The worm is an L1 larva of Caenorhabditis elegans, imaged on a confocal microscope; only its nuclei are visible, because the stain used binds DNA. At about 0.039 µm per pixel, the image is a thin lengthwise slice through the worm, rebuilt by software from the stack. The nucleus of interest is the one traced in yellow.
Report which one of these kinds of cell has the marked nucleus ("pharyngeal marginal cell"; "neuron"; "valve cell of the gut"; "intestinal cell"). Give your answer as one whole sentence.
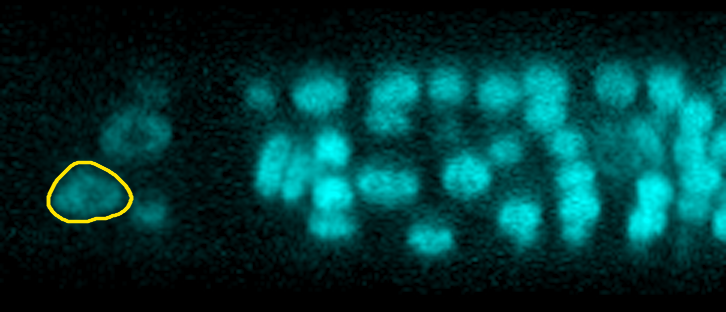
The cell with the marked nucleus is an intestinal cell.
